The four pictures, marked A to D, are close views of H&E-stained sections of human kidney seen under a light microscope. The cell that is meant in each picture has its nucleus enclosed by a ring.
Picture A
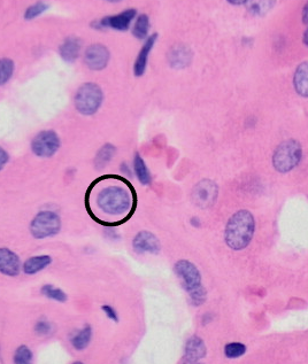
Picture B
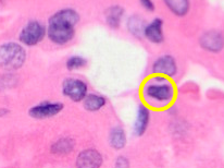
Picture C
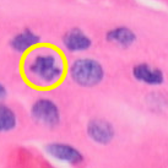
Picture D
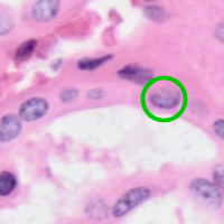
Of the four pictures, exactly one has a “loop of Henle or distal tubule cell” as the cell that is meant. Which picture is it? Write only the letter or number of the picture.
C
